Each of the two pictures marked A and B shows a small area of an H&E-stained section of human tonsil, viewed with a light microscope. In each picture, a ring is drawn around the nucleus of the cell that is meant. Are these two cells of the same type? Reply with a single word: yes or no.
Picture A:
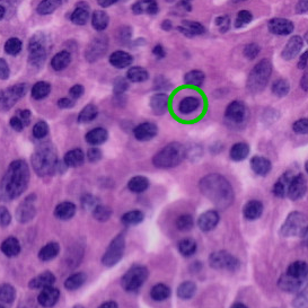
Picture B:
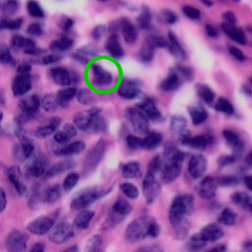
no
